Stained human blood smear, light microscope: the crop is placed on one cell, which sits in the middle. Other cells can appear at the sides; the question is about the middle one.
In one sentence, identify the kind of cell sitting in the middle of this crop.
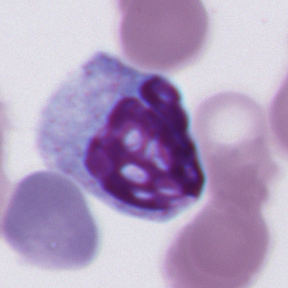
This crop is built around a monocyte at its centre.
